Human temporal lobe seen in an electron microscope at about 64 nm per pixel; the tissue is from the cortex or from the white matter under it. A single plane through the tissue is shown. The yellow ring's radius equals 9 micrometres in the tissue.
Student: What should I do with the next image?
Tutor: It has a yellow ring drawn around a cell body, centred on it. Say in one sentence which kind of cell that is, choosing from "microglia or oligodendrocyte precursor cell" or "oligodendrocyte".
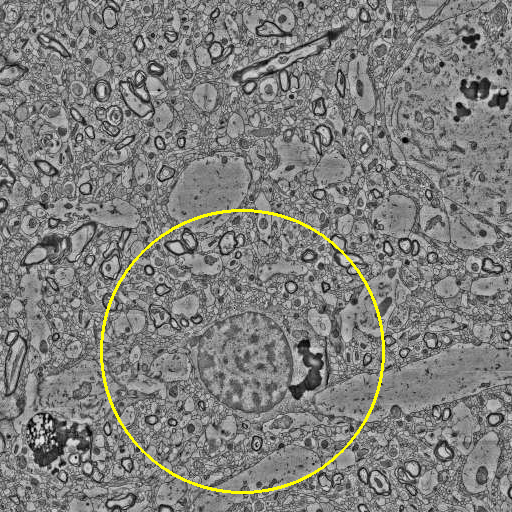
The ring's centre is occupied by an oligodendrocyte.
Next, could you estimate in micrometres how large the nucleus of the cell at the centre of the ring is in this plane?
Approximately 6 micrometres across in this plane.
